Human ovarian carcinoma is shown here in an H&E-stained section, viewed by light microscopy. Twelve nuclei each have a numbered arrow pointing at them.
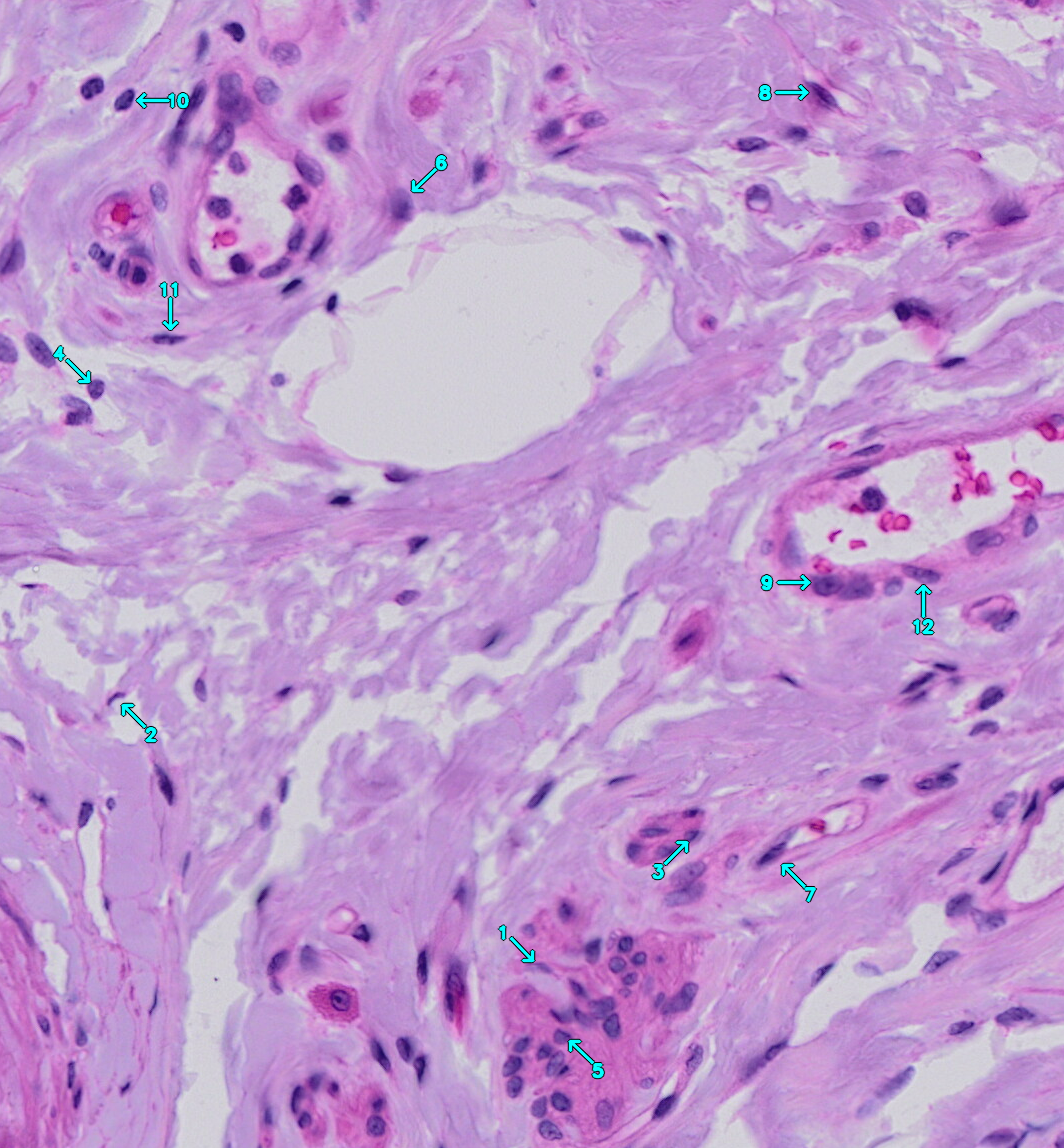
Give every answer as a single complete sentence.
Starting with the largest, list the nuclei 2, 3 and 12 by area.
Going from the biggest nucleus down to the smallest gives 12, 3, 2.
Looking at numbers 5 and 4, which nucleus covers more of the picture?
It is nucleus 4, which covers about 2 times the area of nucleus 5.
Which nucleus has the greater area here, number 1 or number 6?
The larger nucleus is 6, at roughly 3 times the area of 1.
